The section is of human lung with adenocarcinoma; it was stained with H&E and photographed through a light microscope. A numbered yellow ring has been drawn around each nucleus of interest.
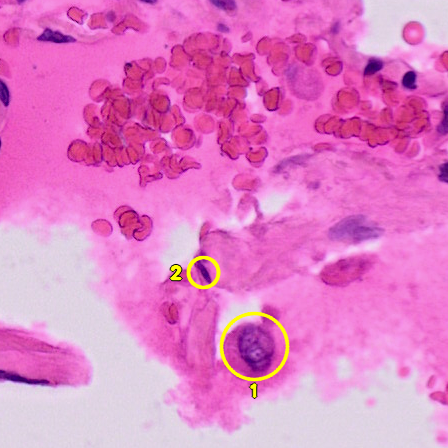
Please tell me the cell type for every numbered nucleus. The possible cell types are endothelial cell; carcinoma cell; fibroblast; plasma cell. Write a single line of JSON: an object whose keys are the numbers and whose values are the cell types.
{"1": "carcinoma cell", "2": "endothelial cell"}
